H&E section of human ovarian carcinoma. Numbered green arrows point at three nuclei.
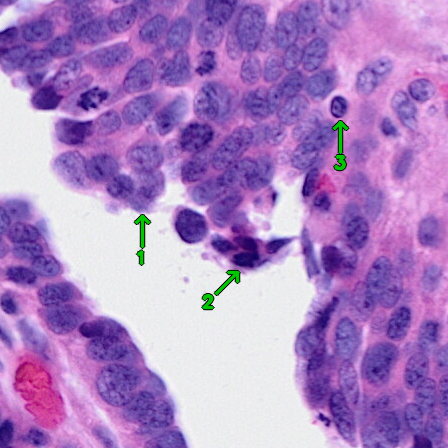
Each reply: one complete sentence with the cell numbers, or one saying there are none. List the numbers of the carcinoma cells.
When it comes to cells 1 and 2, they are carcinoma cells.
